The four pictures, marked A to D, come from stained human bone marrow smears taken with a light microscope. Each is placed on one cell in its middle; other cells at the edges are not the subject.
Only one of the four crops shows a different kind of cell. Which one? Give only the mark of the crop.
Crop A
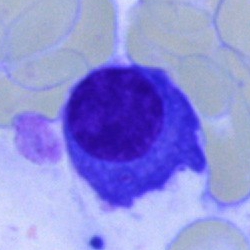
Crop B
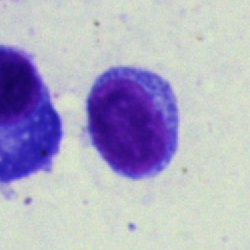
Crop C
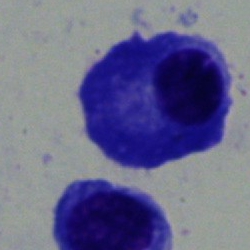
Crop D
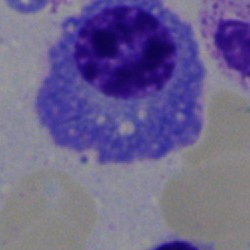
B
